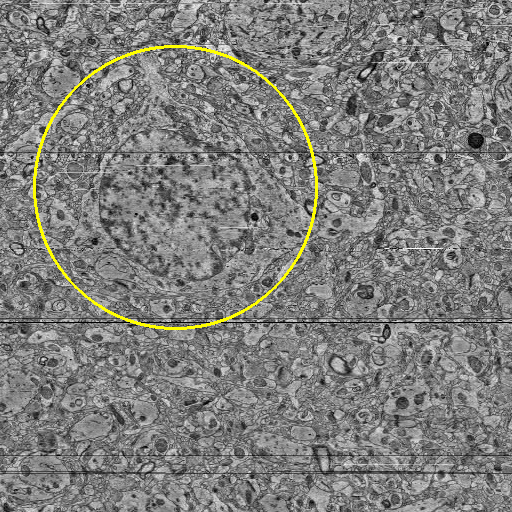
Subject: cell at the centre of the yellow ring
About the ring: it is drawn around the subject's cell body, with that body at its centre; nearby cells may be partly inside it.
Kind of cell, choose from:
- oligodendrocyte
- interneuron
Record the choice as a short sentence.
The subject cell is an interneuron.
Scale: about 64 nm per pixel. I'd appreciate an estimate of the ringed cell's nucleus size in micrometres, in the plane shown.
About 10 micrometres across, as seen in this plane.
